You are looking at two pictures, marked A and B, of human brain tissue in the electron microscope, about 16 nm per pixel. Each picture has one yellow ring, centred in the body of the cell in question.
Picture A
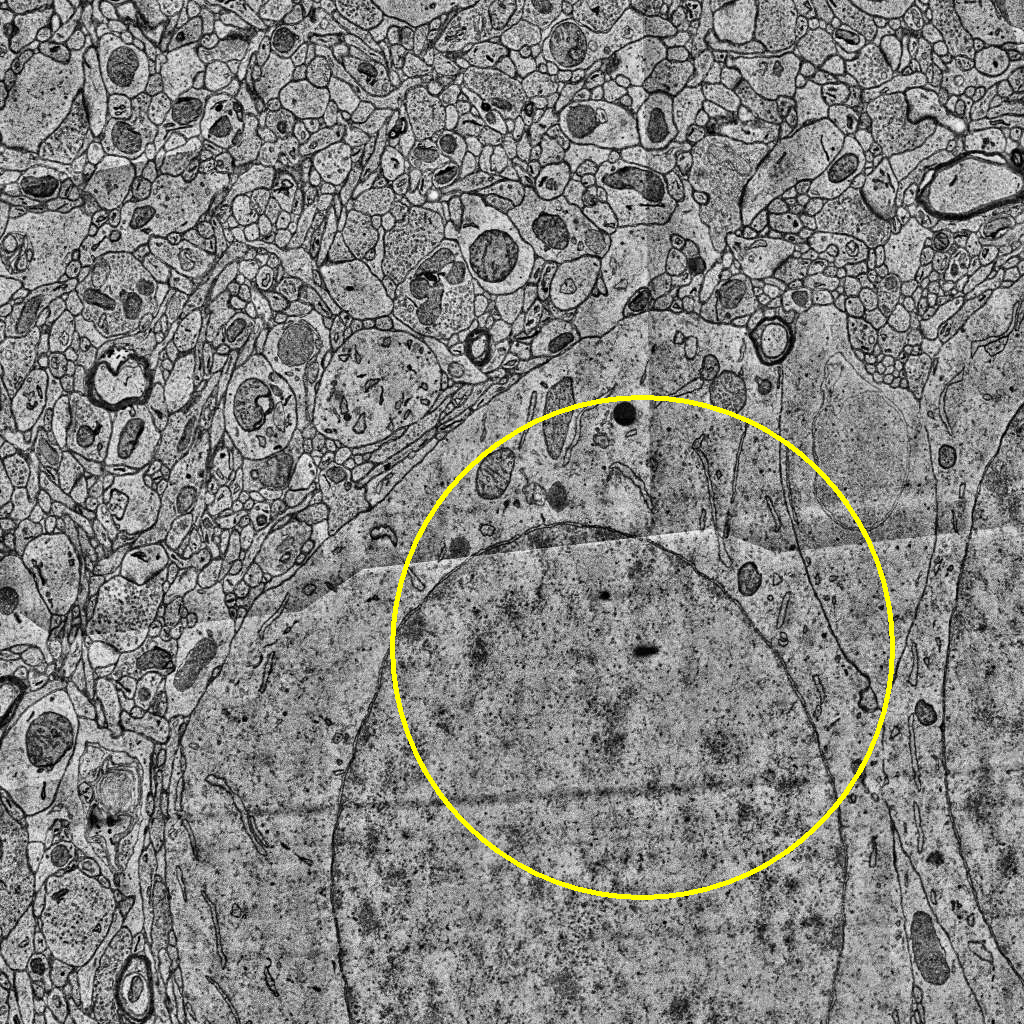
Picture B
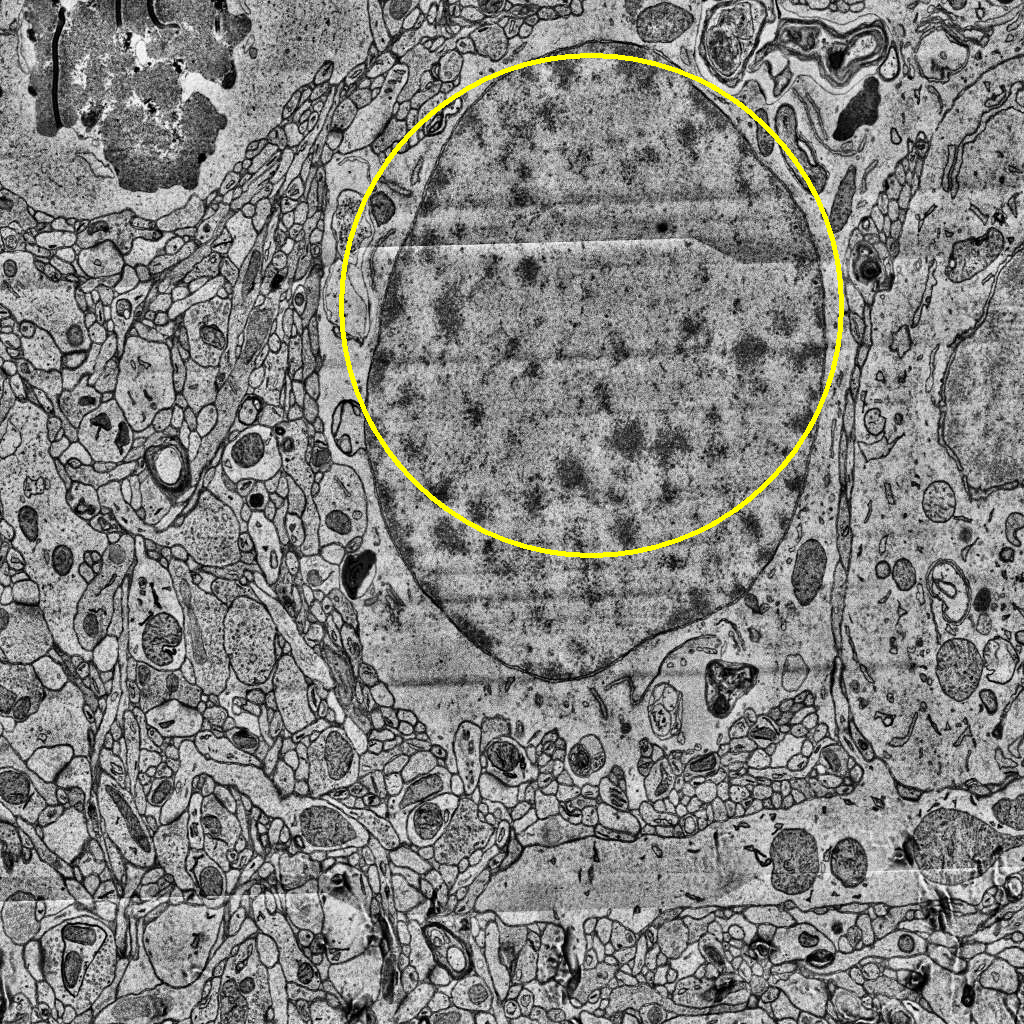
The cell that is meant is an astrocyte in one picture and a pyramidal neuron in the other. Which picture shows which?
Picture A shows a pyramidal neuron and picture B shows an astrocyte.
